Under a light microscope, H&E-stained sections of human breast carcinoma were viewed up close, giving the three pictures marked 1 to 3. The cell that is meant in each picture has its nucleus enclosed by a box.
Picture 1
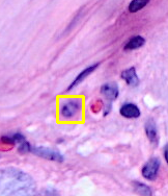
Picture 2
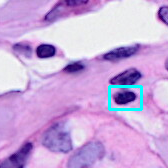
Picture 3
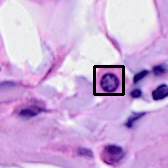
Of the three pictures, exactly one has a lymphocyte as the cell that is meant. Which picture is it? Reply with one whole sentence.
Picture 2 is the one that shows the lymphocyte.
